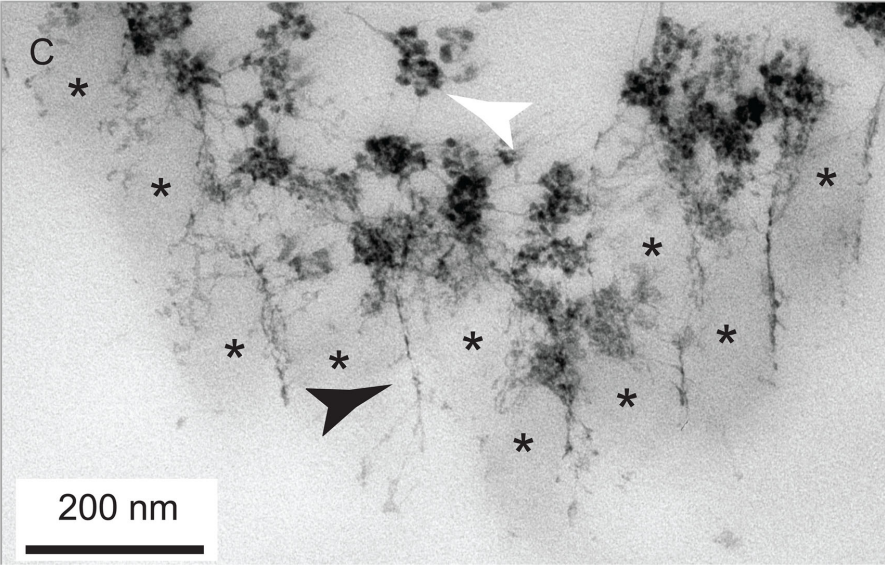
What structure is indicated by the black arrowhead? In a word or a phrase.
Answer: Interconnecting filaments.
